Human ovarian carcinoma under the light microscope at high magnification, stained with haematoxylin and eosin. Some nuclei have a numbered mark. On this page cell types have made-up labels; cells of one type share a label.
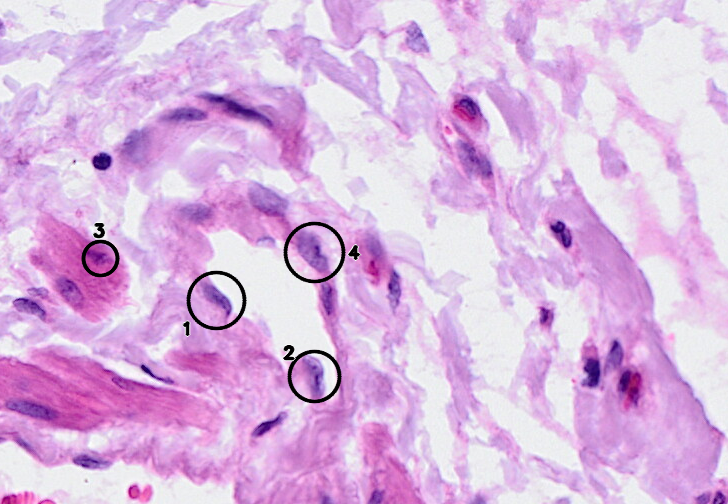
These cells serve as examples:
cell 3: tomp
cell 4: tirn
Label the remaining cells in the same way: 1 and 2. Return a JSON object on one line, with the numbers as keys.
{"1": "tirn", "2": "tirn"}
